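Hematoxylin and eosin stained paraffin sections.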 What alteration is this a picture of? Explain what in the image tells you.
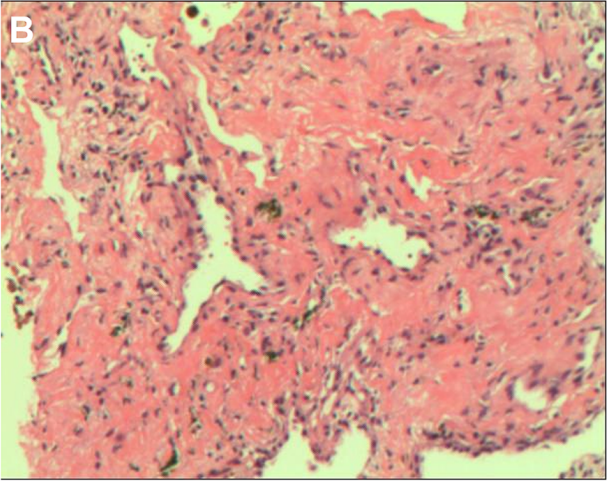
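Most of the field is dense pink, fibrillar eosinophilic matrix. Many elongated, spindle-shaped nuclei are spread through the pink matrix.
Interstitial fibrotic tissue proliferation.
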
